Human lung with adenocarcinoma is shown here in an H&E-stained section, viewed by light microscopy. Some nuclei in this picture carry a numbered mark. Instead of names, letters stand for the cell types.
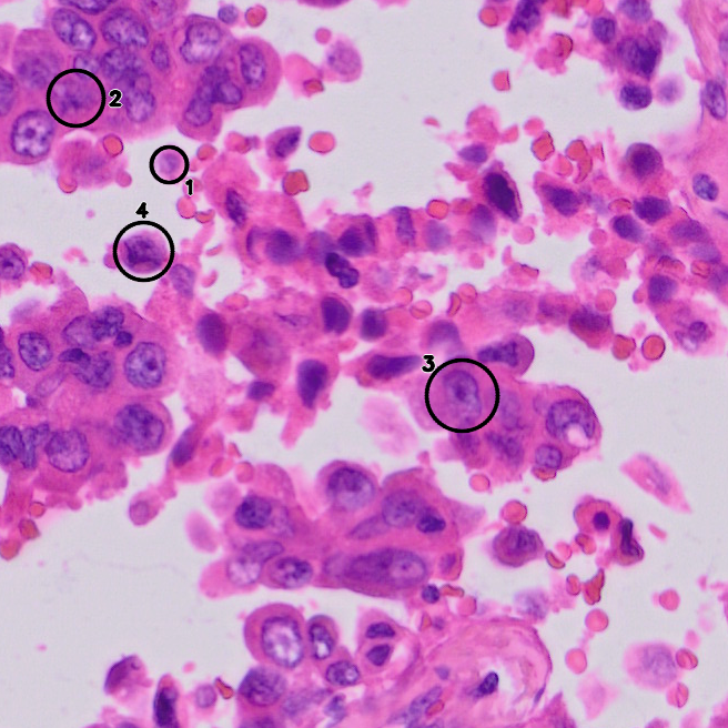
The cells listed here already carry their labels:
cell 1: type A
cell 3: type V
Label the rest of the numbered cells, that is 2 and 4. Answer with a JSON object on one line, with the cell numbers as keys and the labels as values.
{"2": "type V", "4": "type V"}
